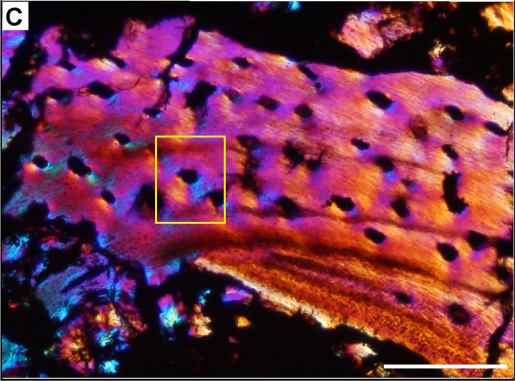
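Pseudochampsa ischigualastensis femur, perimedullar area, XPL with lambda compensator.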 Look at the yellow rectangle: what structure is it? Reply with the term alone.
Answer: Longitudinal primary osteons.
